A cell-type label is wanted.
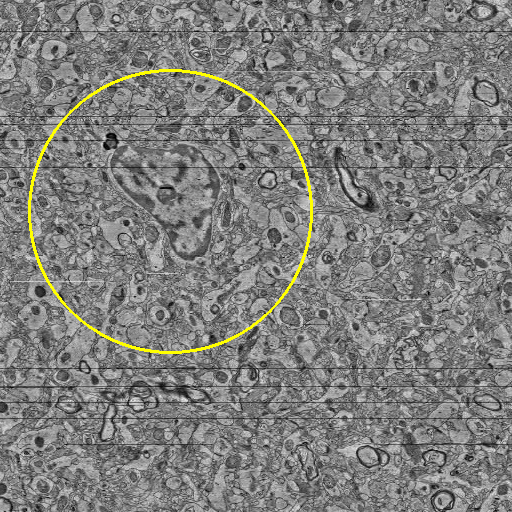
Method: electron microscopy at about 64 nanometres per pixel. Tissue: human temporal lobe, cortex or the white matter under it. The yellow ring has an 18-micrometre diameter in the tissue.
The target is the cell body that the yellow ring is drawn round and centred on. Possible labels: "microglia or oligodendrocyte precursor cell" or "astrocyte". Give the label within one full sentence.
Of the labels offered, the cell in the middle of the yellow ring is a microglial cell or oligodendrocyte precursor cell.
